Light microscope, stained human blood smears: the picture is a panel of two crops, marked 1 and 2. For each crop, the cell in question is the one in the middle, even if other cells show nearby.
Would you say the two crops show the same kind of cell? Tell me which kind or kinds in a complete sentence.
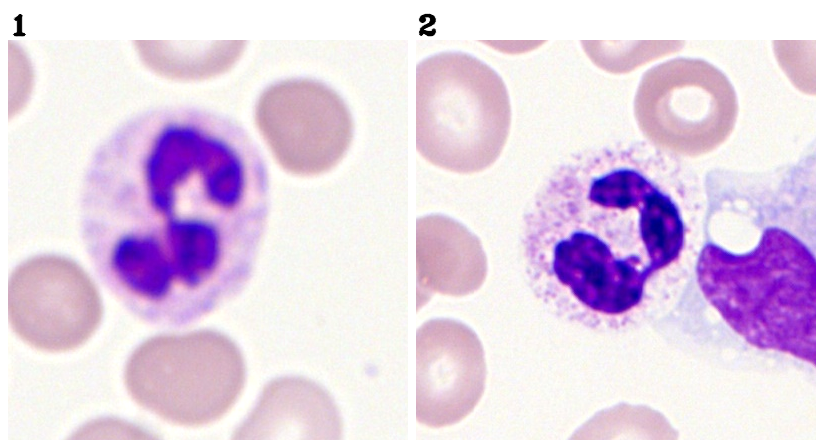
Yes, that holds, both crops show segmented neutrophils.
